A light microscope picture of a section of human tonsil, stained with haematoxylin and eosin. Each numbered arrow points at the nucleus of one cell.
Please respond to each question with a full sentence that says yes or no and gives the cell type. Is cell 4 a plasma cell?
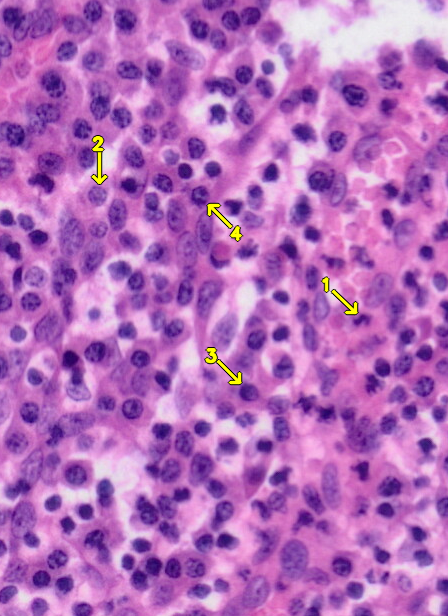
Yes, cell 4 among the marked cells is a plasma cell.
